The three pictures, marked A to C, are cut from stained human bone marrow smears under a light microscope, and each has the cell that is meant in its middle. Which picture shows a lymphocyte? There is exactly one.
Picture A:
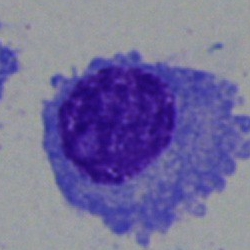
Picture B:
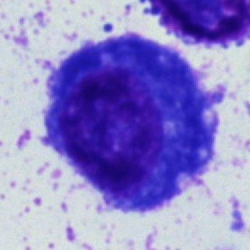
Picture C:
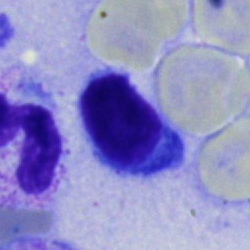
C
